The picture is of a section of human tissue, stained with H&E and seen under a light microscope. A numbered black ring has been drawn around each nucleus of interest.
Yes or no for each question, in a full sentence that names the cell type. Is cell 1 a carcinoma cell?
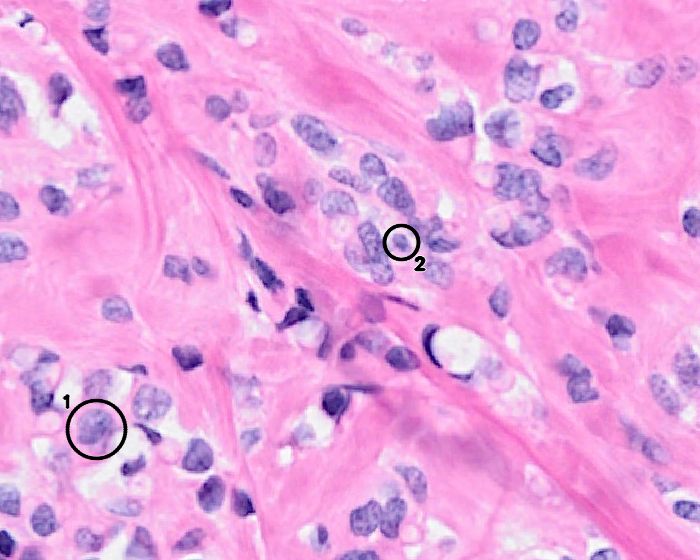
Yes, cell number 1 in this section is a carcinoma cell.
